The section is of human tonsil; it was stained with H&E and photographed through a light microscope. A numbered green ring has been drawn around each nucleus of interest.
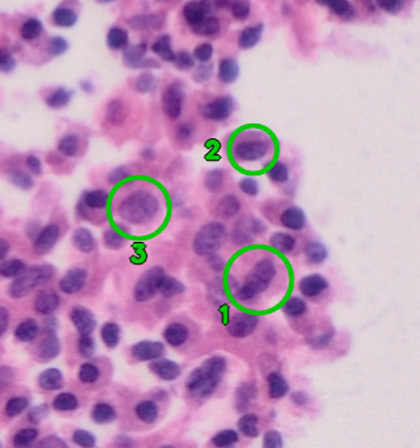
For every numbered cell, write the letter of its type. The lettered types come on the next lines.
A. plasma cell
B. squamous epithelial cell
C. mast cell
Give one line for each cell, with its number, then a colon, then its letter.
1: B
2: A
3: B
